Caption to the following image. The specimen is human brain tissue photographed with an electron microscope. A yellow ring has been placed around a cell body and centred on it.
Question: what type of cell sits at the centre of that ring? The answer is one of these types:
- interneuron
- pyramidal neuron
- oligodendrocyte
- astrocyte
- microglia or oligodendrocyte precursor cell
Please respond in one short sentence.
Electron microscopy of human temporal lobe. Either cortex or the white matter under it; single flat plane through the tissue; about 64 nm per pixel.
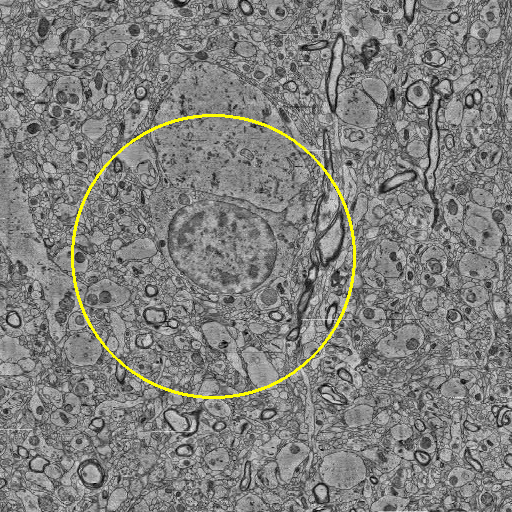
The ring surrounds the cell body of an oligodendrocyte.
